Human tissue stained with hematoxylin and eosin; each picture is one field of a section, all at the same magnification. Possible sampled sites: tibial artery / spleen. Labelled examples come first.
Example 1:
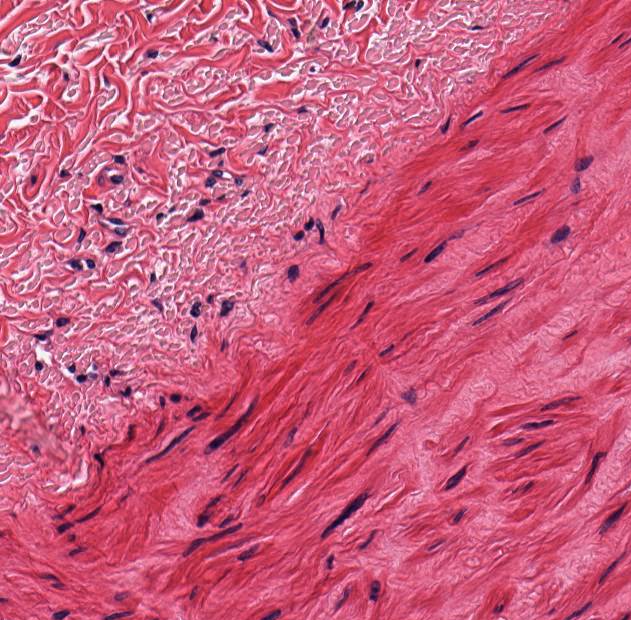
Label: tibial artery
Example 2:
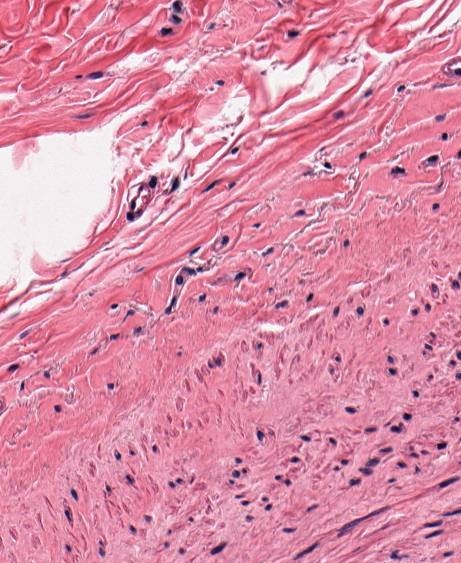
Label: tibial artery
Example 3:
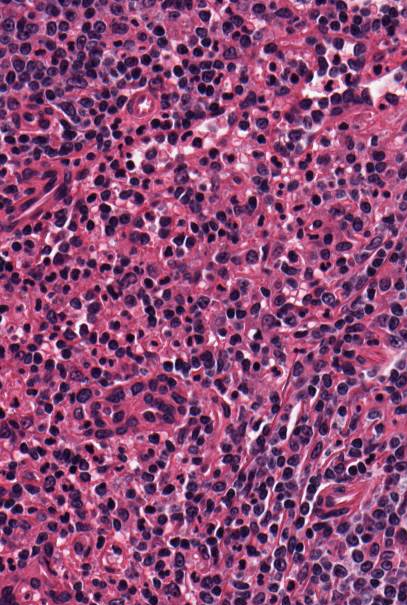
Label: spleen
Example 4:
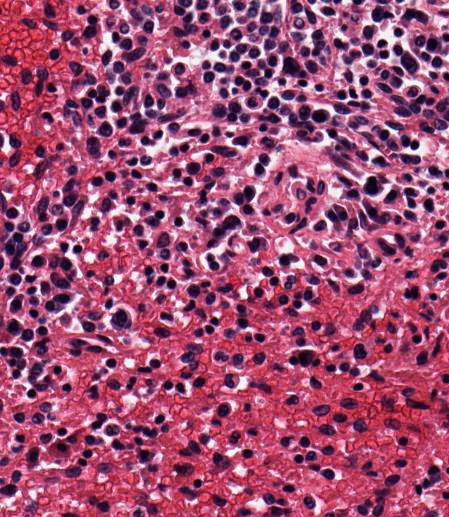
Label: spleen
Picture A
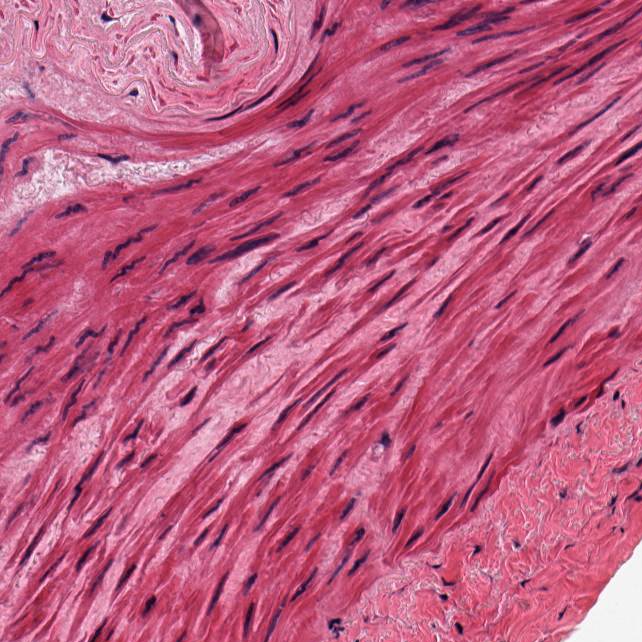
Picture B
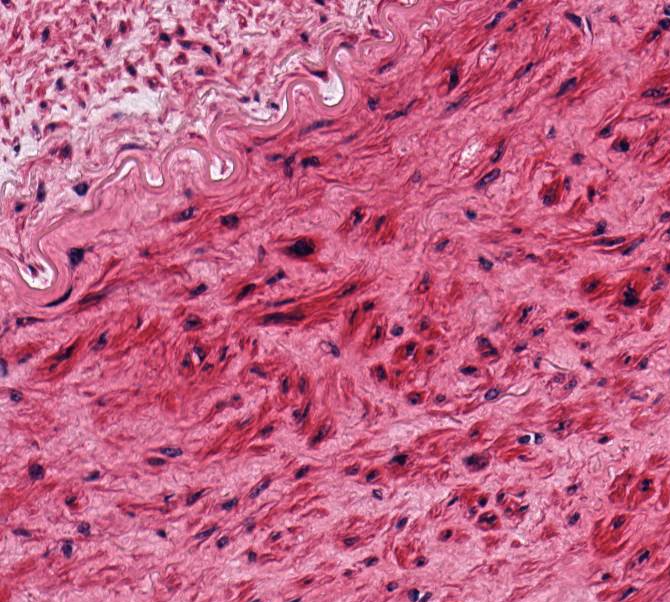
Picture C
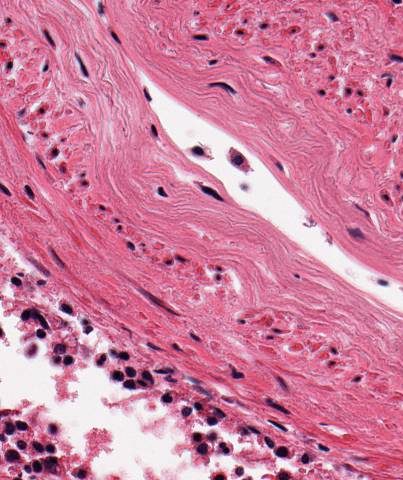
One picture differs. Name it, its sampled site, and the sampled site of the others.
Different: C, spleen. Others: tibial artery.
